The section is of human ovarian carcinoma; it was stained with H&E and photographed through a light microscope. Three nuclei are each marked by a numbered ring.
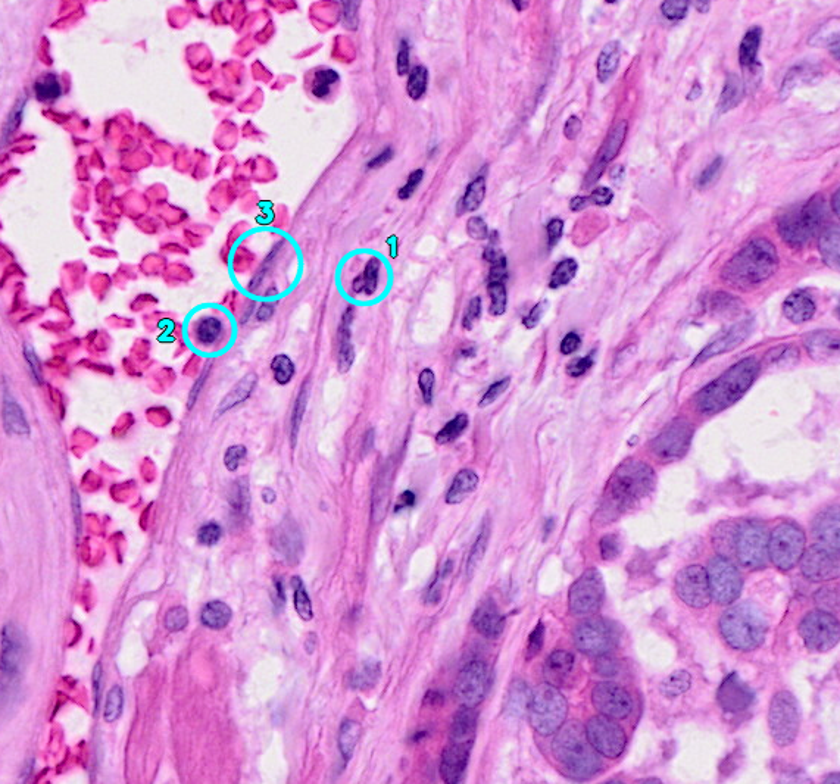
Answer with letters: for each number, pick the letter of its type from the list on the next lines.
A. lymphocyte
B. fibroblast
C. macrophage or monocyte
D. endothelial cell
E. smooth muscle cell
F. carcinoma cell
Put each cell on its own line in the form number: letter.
1: A
2: A
3: D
